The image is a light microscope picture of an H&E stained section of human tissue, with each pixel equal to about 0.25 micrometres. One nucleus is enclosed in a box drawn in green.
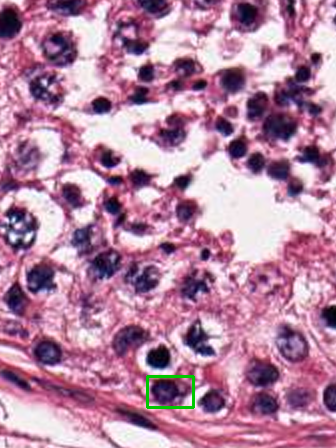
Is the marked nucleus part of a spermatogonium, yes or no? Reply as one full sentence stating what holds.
Yes, the nucleus bearing the mark is that of a spermatogonium.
